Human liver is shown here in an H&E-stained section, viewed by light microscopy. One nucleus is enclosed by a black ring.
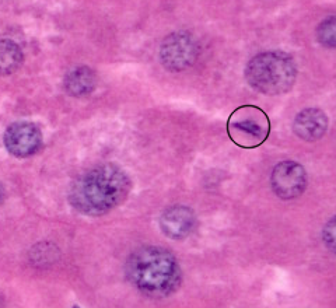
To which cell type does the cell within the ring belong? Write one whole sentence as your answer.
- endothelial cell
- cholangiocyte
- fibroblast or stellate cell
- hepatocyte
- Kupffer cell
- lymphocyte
In this tissue sample, the cell within the ring is a fibroblast or stellate cell.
